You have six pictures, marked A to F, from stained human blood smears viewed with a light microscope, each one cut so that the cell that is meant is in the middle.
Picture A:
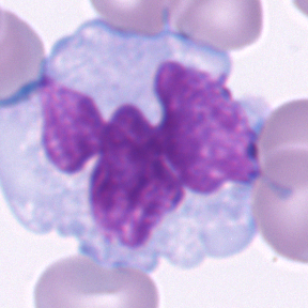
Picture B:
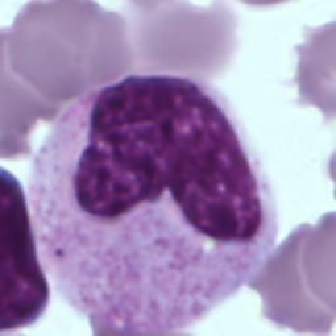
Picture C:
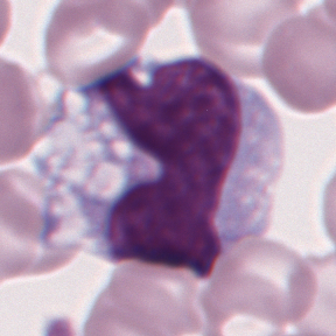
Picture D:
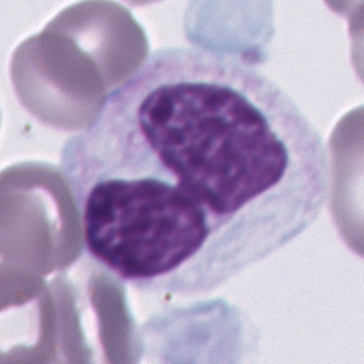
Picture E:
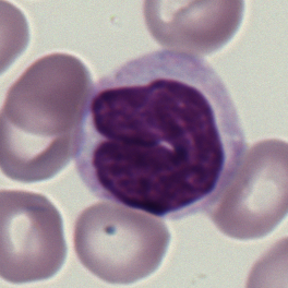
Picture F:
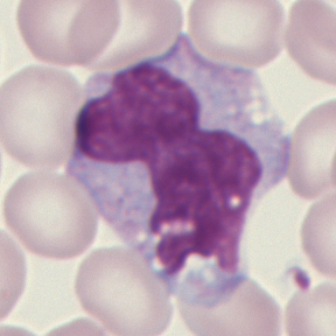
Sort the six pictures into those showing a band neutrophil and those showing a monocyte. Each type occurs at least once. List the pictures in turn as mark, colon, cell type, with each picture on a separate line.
A: monocyte
B: band neutrophil
C: monocyte
D: band neutrophil
E: band neutrophil
F: monocyte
